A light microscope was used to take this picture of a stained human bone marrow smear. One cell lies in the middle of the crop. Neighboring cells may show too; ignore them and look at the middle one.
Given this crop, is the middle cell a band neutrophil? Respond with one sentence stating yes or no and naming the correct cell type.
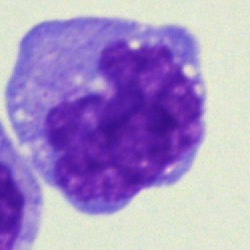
No, the cell in the middle should be called a monocyte instead of a band neutrophil.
